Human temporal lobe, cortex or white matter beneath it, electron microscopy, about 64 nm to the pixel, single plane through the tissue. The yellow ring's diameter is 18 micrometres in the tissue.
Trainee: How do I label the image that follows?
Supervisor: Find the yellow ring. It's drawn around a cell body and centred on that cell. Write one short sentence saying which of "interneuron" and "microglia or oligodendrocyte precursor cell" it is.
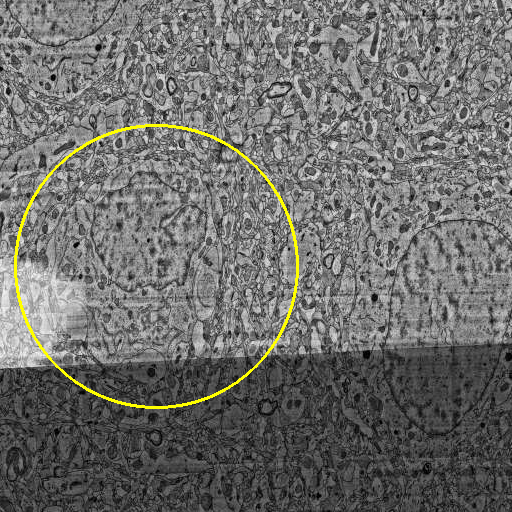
This is the cell body of an interneuron.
